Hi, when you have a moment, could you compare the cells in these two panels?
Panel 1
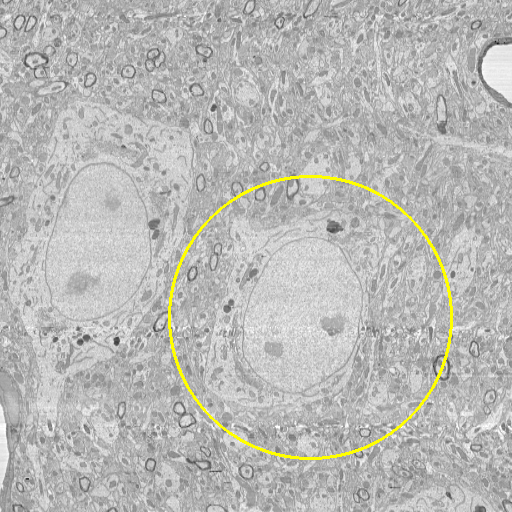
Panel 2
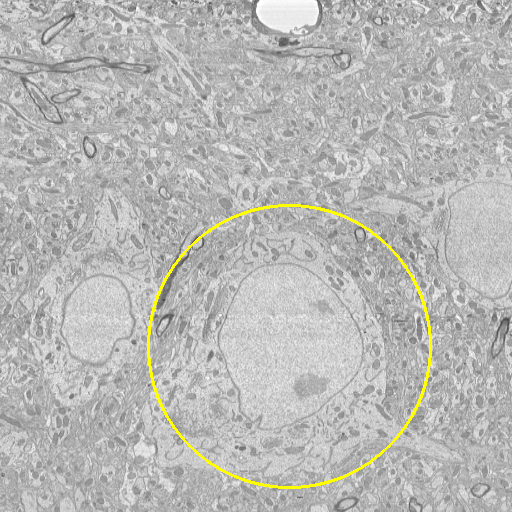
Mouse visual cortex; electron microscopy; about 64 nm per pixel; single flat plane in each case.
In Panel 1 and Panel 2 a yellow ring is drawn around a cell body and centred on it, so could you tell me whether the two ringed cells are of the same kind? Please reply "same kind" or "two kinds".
same kind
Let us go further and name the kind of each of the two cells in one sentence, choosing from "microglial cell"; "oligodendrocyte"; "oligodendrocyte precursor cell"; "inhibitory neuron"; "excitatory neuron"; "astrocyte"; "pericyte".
Each cell at the centre of a ring is an excitatory neuron.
